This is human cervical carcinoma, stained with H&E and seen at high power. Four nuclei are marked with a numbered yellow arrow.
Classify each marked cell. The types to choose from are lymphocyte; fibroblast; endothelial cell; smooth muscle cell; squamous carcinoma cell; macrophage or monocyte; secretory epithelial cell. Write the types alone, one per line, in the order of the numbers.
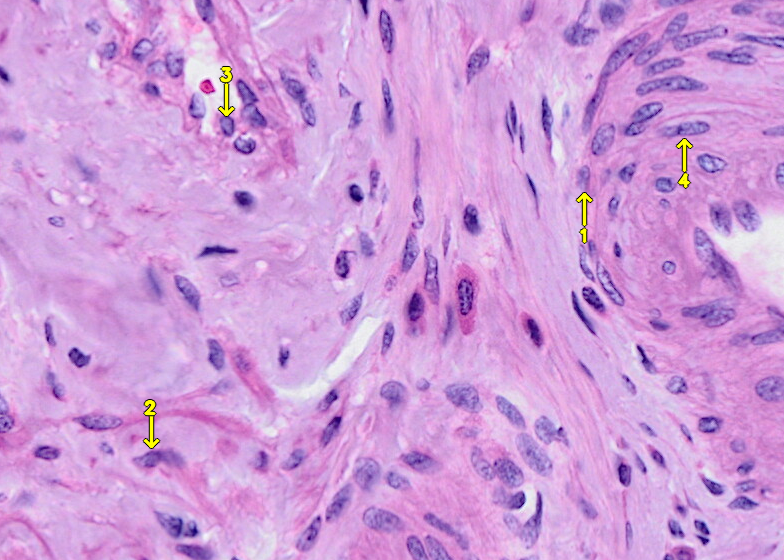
smooth muscle cell
smooth muscle cell
endothelial cell
smooth muscle cell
